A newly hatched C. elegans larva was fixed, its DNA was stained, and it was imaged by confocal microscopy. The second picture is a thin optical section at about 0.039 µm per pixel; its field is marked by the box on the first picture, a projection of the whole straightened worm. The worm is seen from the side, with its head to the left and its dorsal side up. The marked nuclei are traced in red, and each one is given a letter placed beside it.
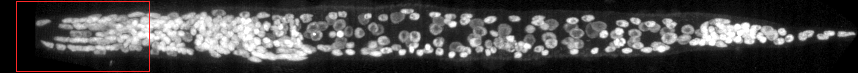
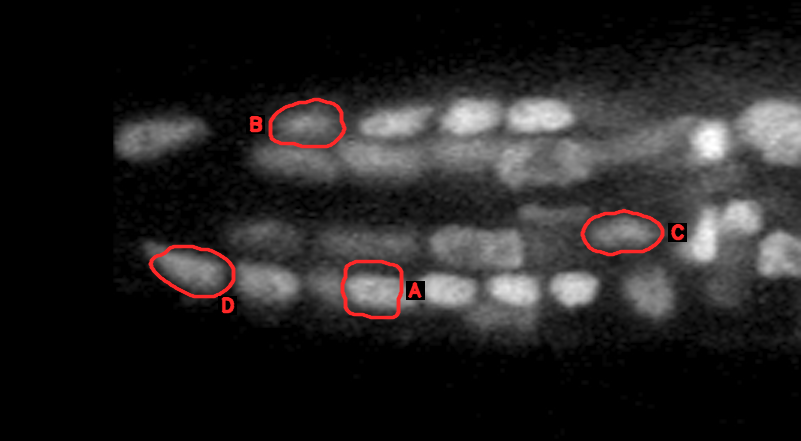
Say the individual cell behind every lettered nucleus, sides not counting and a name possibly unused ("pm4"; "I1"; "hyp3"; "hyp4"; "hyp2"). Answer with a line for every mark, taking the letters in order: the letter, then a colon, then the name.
A: hyp2
B: hyp3
C: I1
D: hyp4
